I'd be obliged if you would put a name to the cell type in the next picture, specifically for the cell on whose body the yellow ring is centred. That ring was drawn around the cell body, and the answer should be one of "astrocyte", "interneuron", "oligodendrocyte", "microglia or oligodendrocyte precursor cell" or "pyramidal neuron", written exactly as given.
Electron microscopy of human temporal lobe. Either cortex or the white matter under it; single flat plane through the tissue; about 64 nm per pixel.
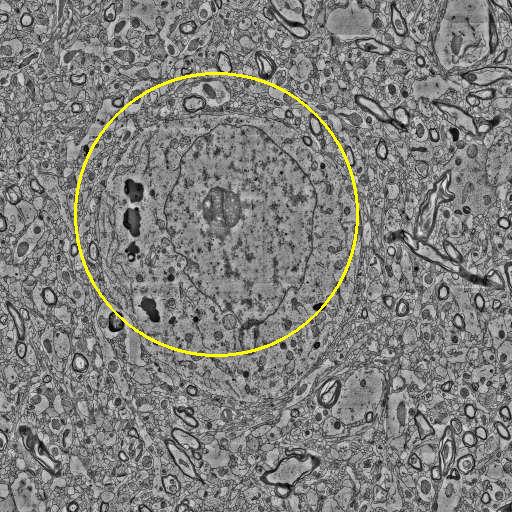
pyramidal neuron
